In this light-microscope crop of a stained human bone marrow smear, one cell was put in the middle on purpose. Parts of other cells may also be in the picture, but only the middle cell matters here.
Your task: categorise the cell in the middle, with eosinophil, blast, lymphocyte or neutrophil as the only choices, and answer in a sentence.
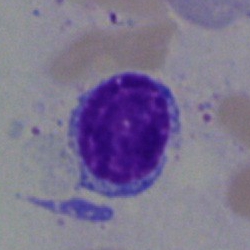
The middle cell in this particular crop is a lymphocyte.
